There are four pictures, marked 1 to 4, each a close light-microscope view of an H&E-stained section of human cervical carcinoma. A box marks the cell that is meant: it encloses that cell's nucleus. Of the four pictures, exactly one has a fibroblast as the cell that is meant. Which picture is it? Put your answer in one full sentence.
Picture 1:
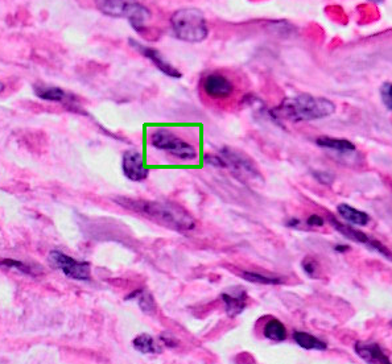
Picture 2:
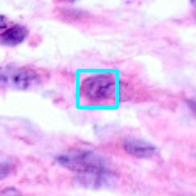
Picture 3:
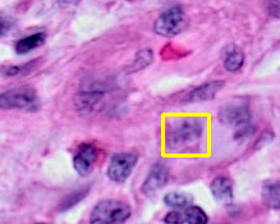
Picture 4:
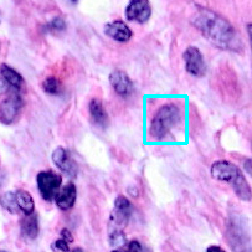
The cell in picture 3 is the fibroblast.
